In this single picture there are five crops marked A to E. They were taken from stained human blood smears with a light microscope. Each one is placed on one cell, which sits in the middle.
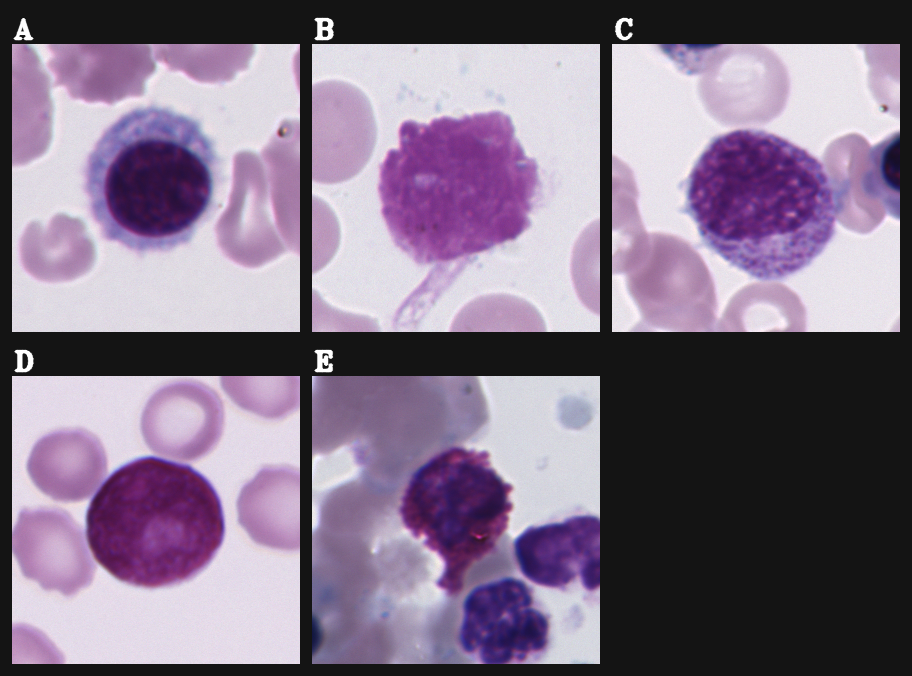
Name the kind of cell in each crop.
A: hairy cell
B: smudge cell
C: myelocyte
D: myeloblast
E: eosinophil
